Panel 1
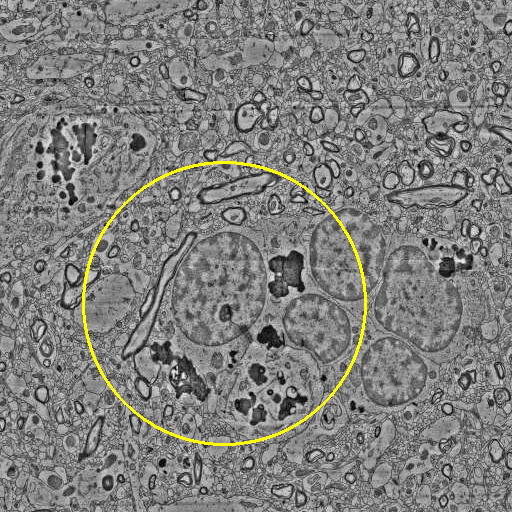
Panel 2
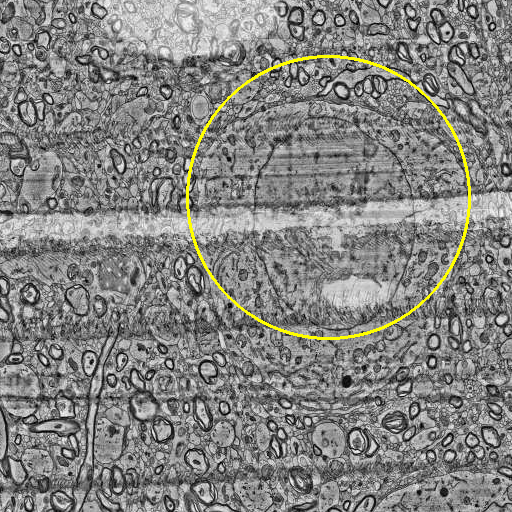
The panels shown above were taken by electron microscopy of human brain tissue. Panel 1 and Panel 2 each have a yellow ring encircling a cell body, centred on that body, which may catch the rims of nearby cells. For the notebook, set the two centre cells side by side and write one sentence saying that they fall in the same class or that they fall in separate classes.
The centred cells of Panel 1 and Panel 2 fall in separate classes.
